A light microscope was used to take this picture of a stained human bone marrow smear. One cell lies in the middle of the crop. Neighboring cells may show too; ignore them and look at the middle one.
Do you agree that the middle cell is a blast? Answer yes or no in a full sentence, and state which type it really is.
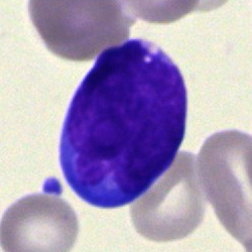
Yes, a blast is what the central cell is.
